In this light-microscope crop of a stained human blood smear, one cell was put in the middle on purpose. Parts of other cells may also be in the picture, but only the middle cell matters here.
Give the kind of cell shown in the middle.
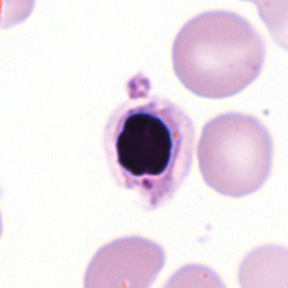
normoblast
